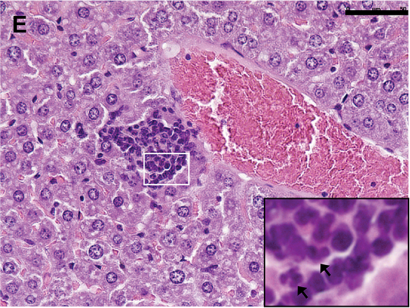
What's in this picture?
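Liver parenchyma near a large vessel filled with pink red blood cells. At its margin lies a compact aggregate of small round cells with dense dark purple nuclei and scant cytoplasm, consistent with inflammatory cells; an inset enlarges part of the aggregate with arrows on individual cells. Surrounding hepatocytes are polygonal, with round pale nuclei, prominent nucleoli and pink cytoplasm, arranged in cords. The inflammatory aggregate is confined to the area beside the vessel rather than spread through the lobule.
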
